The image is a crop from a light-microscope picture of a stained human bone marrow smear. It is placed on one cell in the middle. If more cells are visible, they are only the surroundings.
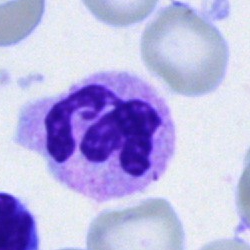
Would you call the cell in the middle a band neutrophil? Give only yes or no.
no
